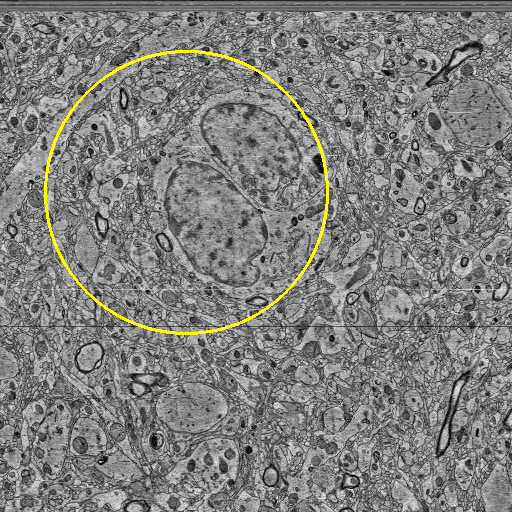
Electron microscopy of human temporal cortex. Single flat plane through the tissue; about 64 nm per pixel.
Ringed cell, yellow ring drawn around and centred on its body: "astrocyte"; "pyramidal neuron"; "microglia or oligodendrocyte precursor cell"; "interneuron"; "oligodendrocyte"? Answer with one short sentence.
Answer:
This ringed cell is a microglial cell or oligodendrocyte precursor cell.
